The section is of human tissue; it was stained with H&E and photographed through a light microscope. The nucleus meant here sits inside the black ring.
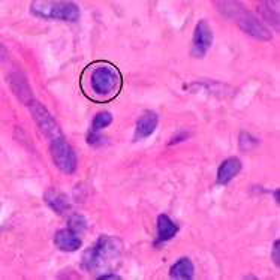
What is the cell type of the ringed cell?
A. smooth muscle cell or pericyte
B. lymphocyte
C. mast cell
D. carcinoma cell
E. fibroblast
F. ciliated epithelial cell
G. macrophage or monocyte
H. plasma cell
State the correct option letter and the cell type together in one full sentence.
Option C is accurate, for the ringed cell is a mast cell.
